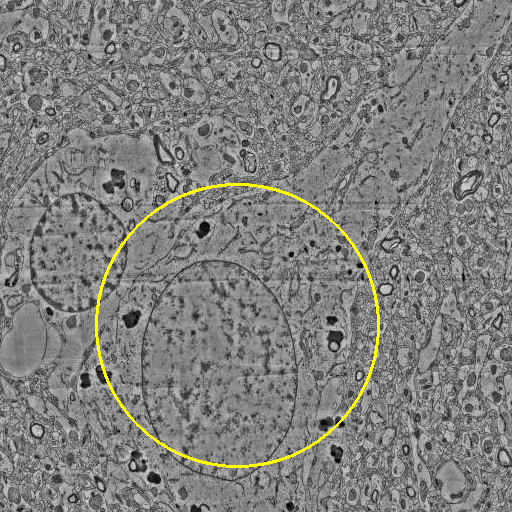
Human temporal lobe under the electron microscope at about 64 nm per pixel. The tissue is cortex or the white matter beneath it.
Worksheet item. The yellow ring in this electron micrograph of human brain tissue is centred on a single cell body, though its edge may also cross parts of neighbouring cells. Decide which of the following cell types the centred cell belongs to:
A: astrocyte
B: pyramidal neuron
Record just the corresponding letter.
B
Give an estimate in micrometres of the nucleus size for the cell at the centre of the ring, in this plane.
The nucleus has a long axis of about 14 micrometres and a short axis of about 10 micrometres in this plane.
